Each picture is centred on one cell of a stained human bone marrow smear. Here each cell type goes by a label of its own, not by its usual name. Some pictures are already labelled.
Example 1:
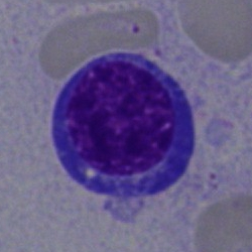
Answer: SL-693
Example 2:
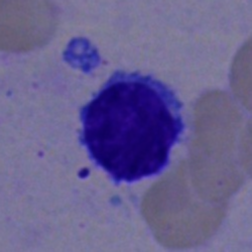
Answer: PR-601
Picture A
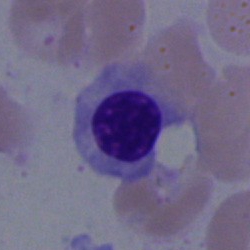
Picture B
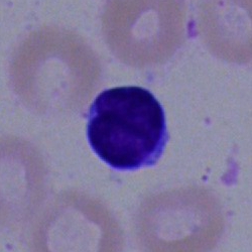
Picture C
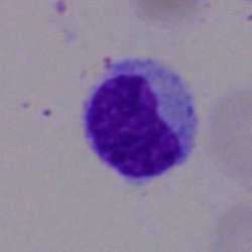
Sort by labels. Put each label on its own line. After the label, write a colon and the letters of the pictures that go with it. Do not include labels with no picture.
SL-693: A
PR-601: B, C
